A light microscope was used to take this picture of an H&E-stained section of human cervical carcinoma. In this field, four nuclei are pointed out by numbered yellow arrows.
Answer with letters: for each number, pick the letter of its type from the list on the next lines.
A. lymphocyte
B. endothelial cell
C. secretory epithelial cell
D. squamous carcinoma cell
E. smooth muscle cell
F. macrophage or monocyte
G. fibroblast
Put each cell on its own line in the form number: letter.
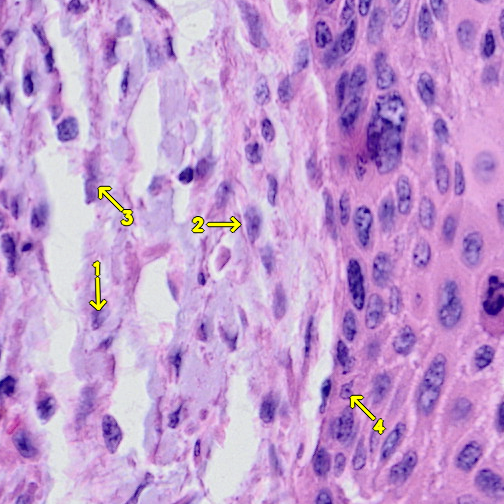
1: G
2: G
3: G
4: D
